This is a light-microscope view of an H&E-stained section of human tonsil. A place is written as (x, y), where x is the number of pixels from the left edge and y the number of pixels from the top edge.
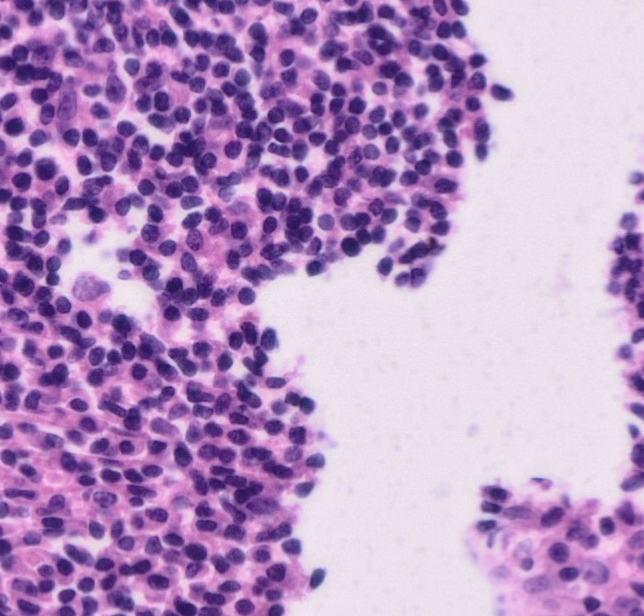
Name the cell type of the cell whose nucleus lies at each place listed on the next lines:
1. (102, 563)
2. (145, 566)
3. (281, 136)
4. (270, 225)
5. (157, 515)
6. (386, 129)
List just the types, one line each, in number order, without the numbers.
plasma cell
plasma cell
small lymphocyte
small lymphocyte
plasma cell
small lymphocyte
